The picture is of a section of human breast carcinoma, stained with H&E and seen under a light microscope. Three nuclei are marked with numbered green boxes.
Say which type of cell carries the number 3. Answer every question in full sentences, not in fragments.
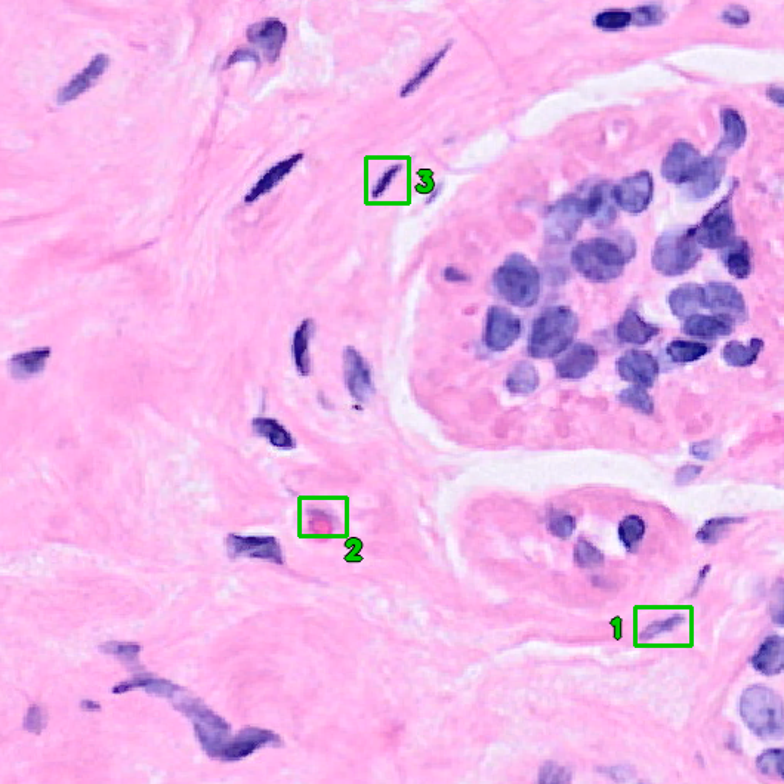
Denoted by the label 3 in the section is a fibroblast.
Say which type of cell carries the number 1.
Recognised here as a fibroblast is the cell numbered 1.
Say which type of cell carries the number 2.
Nucleus 2 in this section belongs to an endothelial cell.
